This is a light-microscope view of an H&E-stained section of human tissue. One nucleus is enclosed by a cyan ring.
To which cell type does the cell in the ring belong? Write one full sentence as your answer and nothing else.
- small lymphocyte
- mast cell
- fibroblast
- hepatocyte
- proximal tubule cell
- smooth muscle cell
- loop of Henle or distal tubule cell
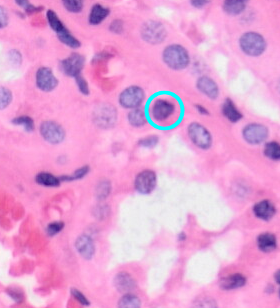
In short, the cell in the ring on this section is a loop of Henle or distal tubule cell.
